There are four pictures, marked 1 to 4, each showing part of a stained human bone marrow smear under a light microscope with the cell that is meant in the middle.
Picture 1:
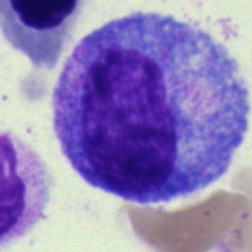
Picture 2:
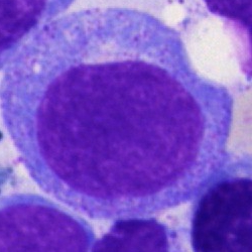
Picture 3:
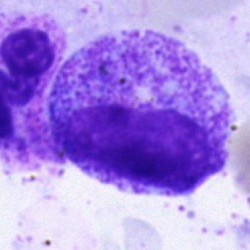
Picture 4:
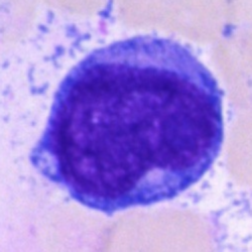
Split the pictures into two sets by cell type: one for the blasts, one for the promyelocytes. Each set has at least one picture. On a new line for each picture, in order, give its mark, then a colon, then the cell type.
1: promyelocyte
2: promyelocyte
3: promyelocyte
4: blast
